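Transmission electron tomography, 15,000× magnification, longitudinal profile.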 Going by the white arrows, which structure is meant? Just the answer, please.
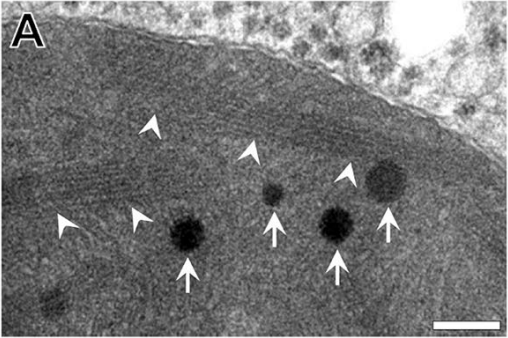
enlarged matrix granules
